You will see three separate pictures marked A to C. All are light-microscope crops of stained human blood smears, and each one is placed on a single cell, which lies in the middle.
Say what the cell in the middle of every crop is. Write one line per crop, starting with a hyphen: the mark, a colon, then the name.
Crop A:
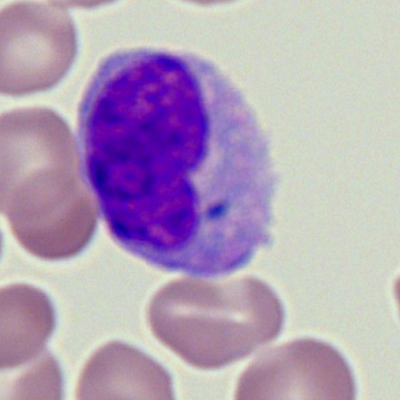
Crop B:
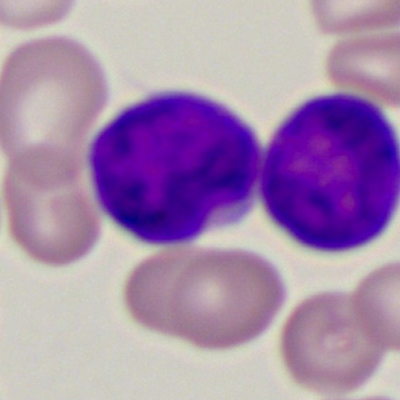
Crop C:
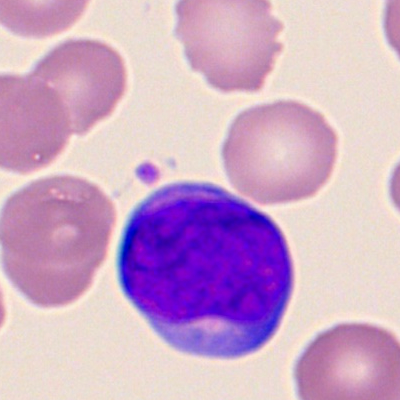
- A: monocyte
- B: myeloblast
- C: myeloblast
